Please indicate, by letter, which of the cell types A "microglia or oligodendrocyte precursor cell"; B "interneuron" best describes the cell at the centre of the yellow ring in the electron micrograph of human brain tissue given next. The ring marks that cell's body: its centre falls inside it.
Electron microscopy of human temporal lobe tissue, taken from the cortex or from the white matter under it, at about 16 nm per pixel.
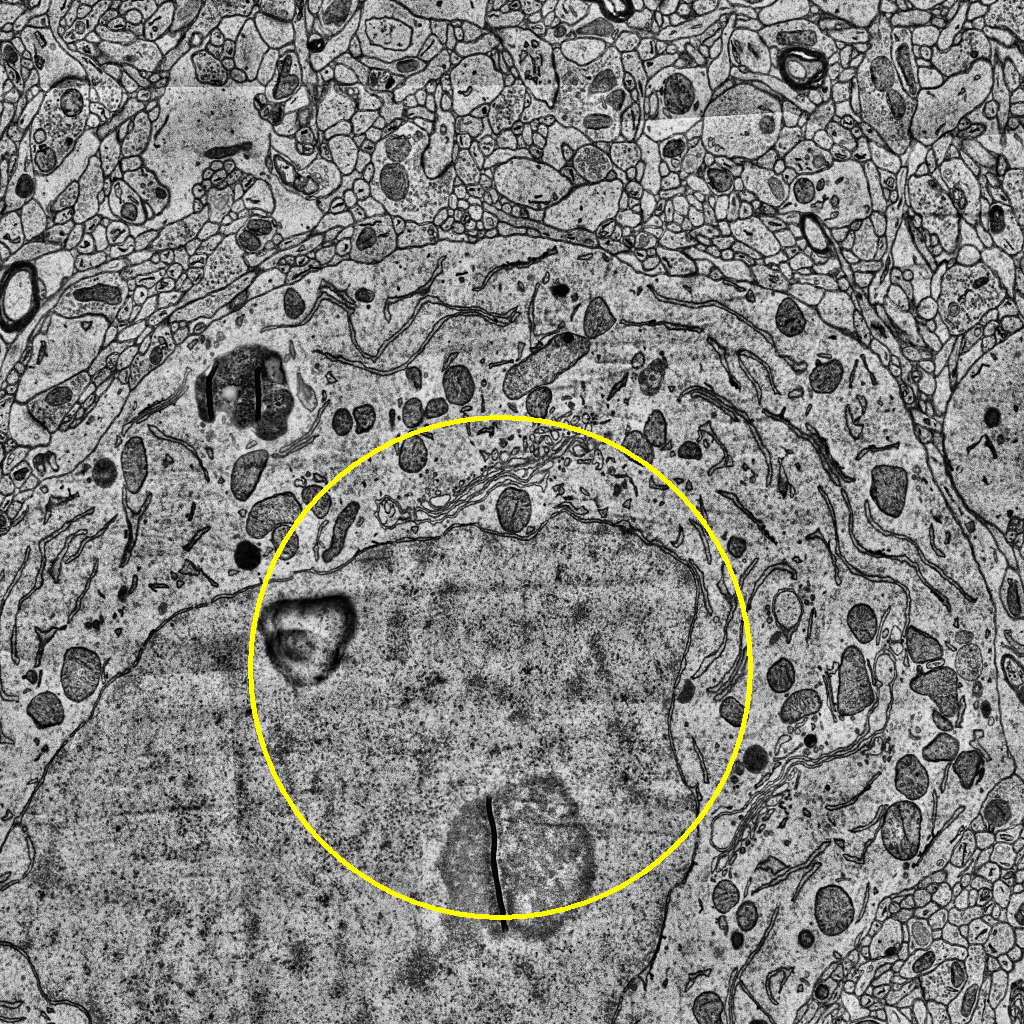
B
